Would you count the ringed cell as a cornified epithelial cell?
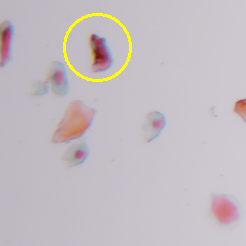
Yes, I would count it as a cornified epithelial cell.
